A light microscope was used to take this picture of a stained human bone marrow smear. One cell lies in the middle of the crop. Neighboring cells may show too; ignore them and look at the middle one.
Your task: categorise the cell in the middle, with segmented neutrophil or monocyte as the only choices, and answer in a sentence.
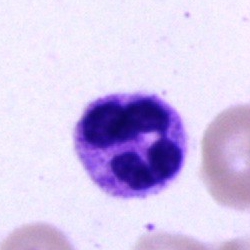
Among the cells in view, the one in the middle is a segmented neutrophil.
